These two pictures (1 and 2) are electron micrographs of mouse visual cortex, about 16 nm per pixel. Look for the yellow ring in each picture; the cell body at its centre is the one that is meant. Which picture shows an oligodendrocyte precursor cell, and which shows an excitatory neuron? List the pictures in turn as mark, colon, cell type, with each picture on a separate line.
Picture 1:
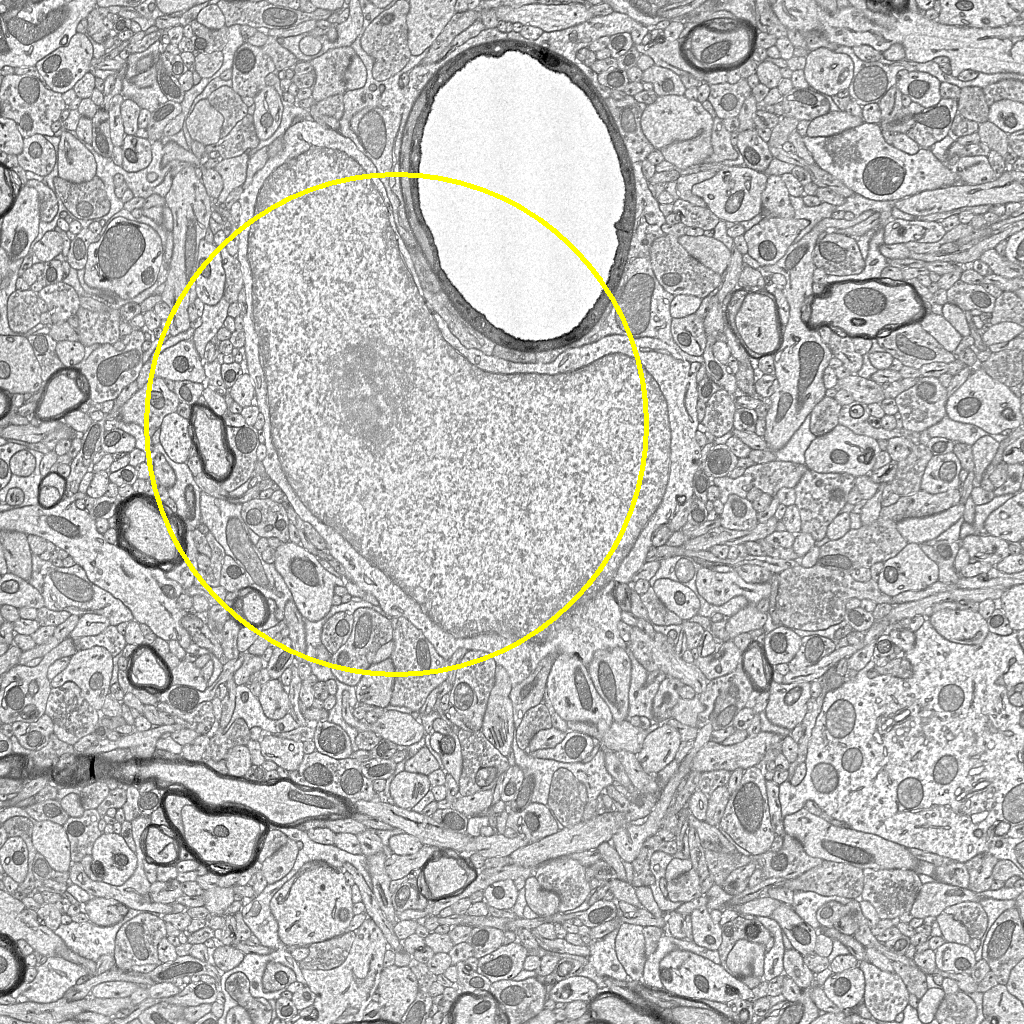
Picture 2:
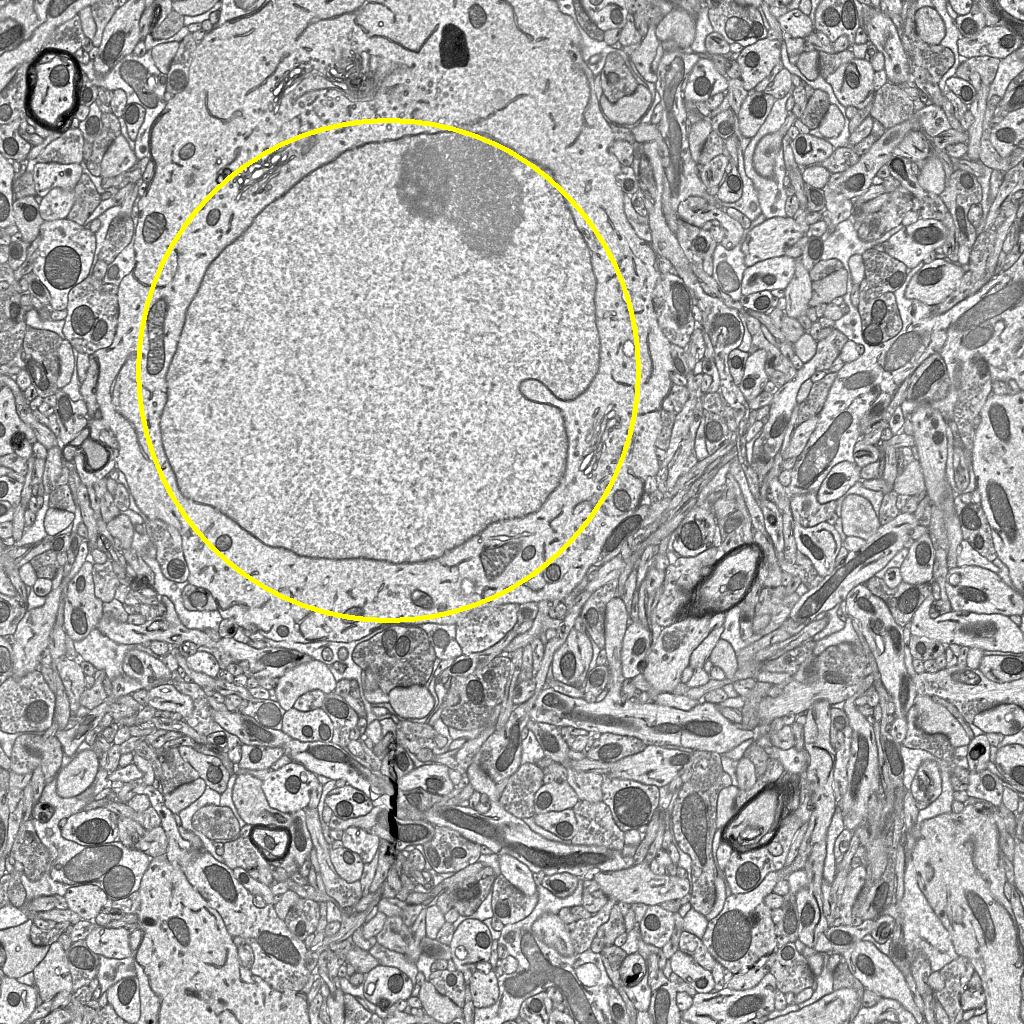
1: oligodendrocyte precursor cell
2: excitatory neuron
